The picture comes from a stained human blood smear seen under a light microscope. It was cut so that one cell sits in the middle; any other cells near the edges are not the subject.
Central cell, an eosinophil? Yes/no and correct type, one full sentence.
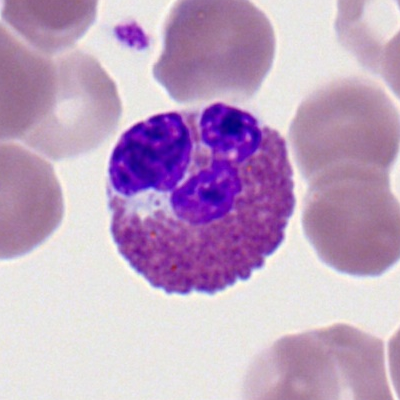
Yes, the identification of the central cell as an eosinophil is correct.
